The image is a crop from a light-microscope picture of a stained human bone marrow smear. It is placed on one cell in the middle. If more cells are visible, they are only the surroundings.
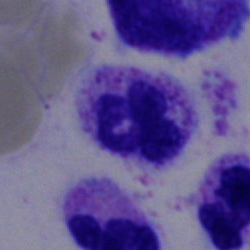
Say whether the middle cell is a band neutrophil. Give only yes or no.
no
